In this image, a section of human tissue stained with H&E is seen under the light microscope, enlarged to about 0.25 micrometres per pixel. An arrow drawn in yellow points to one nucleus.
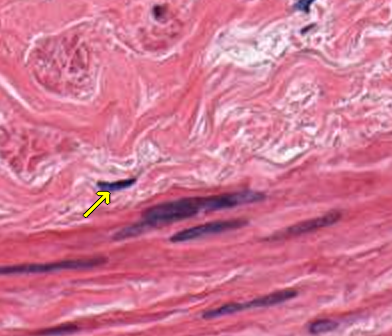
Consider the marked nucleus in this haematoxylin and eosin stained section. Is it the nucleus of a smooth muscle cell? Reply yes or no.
no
